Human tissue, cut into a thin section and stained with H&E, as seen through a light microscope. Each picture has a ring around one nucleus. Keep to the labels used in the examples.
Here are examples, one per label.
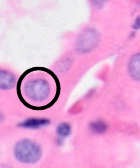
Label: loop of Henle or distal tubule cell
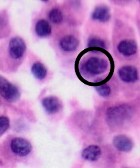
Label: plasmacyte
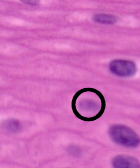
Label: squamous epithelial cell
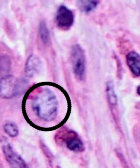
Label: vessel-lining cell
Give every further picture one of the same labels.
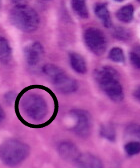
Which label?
squamous epithelial cell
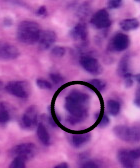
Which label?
squamous epithelial cell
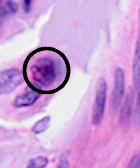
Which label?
vessel-lining cell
